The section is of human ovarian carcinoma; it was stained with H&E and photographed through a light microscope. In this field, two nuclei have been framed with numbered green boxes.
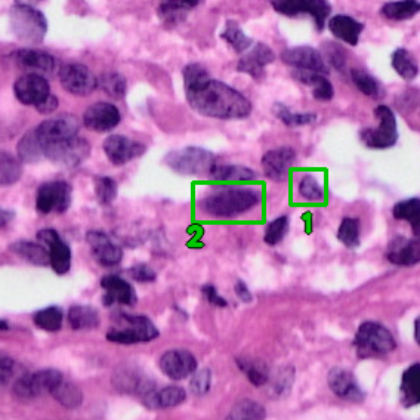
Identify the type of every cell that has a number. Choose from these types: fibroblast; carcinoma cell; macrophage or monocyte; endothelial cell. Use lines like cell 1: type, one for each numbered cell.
cell 1: macrophage or monocyte
cell 2: carcinoma cell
